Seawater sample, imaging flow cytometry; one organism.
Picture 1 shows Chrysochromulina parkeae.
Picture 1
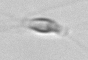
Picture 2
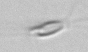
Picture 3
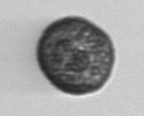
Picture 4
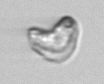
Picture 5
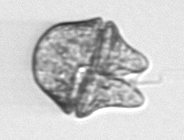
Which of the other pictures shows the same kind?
Picture 2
